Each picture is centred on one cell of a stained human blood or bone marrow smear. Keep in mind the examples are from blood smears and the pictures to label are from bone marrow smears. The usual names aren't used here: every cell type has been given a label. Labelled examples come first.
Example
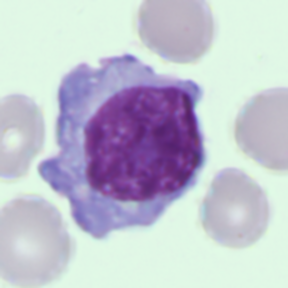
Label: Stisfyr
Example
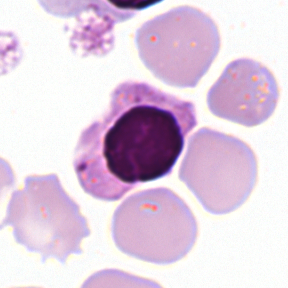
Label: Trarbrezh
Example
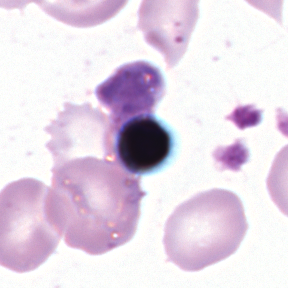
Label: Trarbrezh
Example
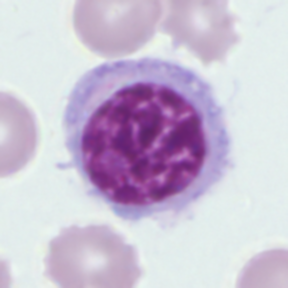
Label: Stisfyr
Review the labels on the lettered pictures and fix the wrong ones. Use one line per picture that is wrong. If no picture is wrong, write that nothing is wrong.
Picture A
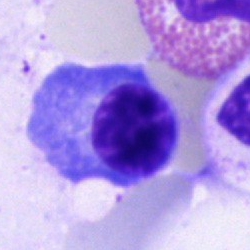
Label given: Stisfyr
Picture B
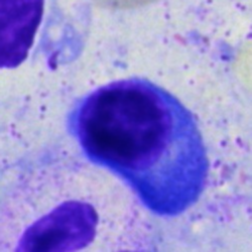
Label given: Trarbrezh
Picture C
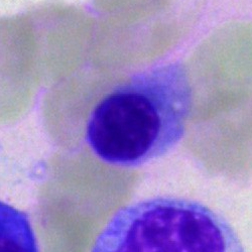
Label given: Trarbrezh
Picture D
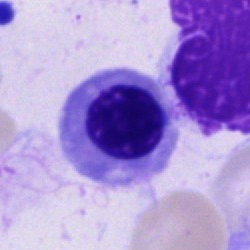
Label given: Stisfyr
B is labelled Trarbrezh; correct label: Stisfyr
D is labelled Stisfyr; correct label: Trarbrezh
